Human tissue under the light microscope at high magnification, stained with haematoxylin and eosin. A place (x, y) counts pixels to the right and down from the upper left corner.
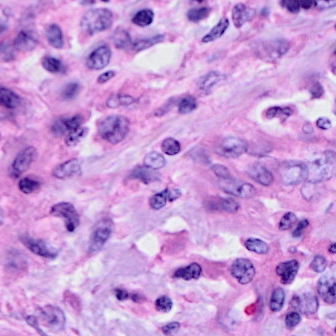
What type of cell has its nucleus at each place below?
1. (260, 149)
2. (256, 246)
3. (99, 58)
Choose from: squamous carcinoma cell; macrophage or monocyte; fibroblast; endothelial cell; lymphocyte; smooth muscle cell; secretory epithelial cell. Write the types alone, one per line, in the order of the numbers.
endothelial cell
lymphocyte
macrophage or monocyte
